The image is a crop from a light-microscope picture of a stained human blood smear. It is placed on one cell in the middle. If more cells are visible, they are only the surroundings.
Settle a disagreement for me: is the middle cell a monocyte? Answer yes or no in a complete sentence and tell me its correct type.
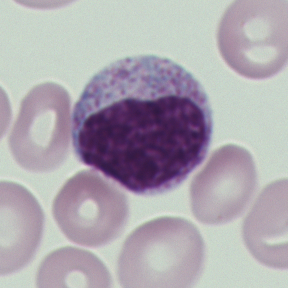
No, this one is a metamyelocyte; it is not a monocyte.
